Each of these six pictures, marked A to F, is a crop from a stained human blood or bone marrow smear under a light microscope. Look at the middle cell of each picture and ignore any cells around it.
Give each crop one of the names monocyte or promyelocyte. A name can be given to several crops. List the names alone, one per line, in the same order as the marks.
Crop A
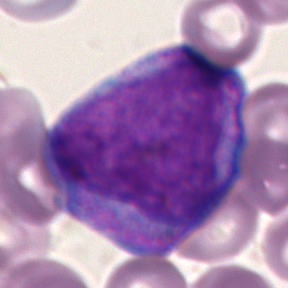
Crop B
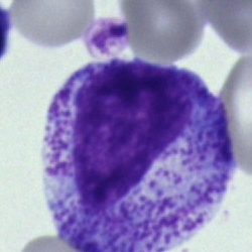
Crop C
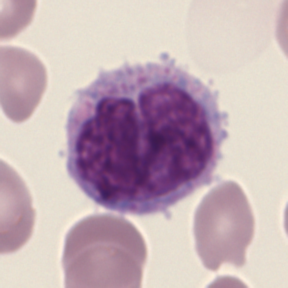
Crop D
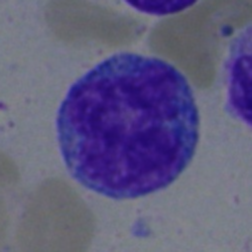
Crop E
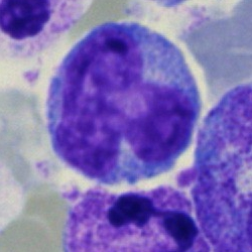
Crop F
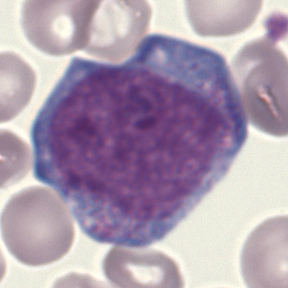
promyelocyte
promyelocyte
monocyte
monocyte
monocyte
promyelocyte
